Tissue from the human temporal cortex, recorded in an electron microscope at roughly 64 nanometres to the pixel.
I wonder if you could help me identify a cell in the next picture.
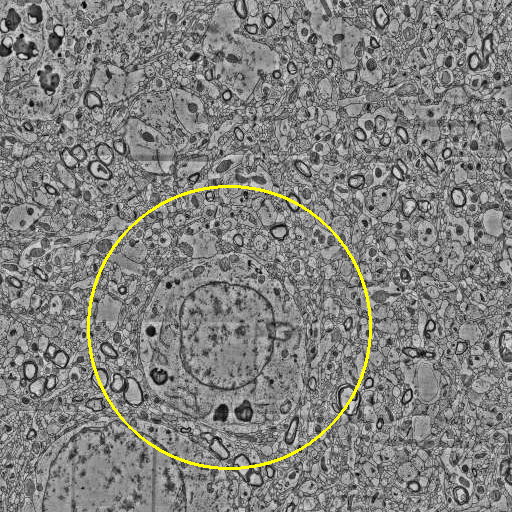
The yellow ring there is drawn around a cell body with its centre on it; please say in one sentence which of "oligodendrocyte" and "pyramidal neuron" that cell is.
The yellow ring is centred on a pyramidal neuron.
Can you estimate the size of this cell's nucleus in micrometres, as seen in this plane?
Approximately 7 micrometres across in this plane.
